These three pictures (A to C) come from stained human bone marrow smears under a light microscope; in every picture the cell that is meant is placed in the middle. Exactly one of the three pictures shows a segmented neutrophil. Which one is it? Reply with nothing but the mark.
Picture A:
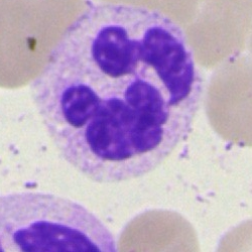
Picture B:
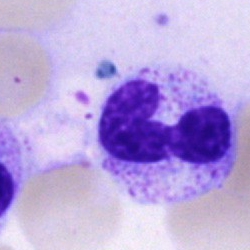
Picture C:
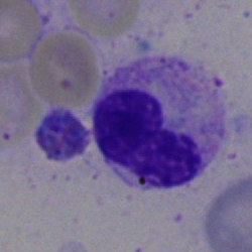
A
